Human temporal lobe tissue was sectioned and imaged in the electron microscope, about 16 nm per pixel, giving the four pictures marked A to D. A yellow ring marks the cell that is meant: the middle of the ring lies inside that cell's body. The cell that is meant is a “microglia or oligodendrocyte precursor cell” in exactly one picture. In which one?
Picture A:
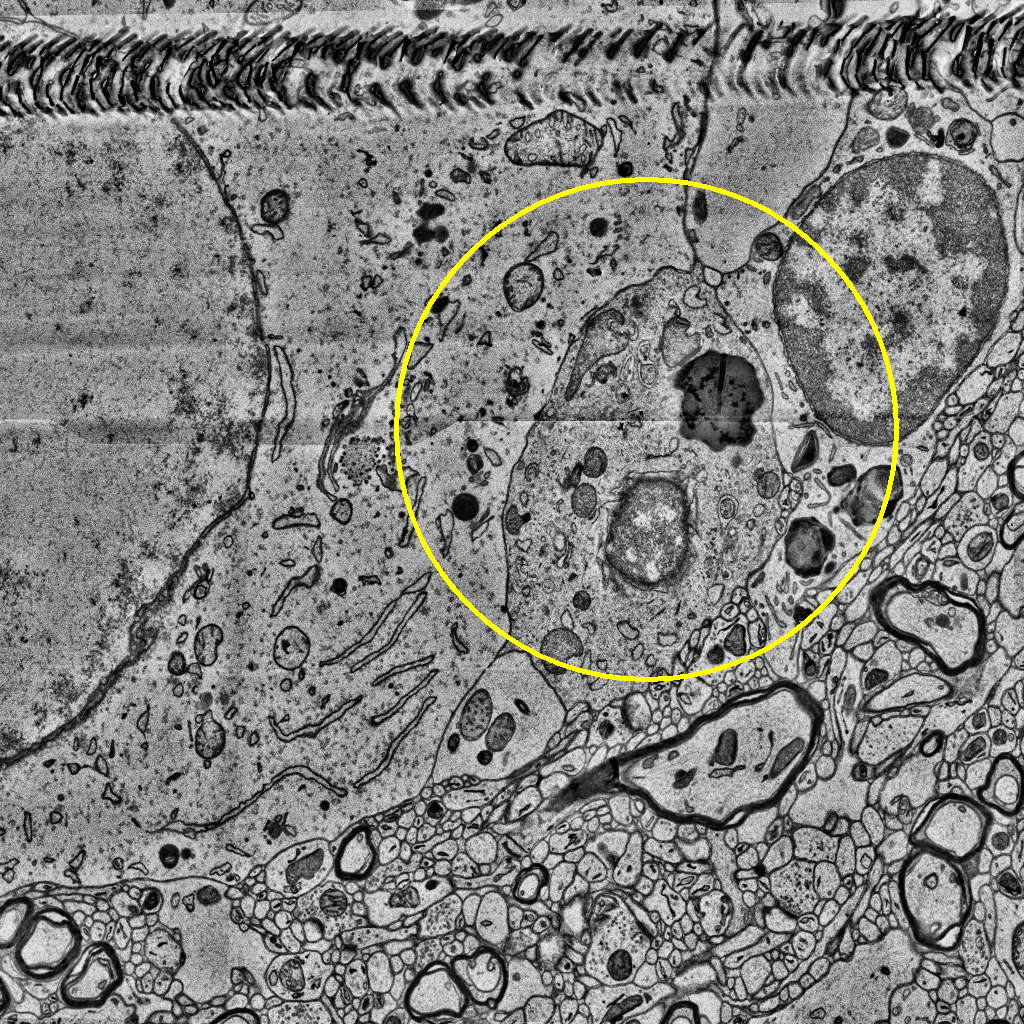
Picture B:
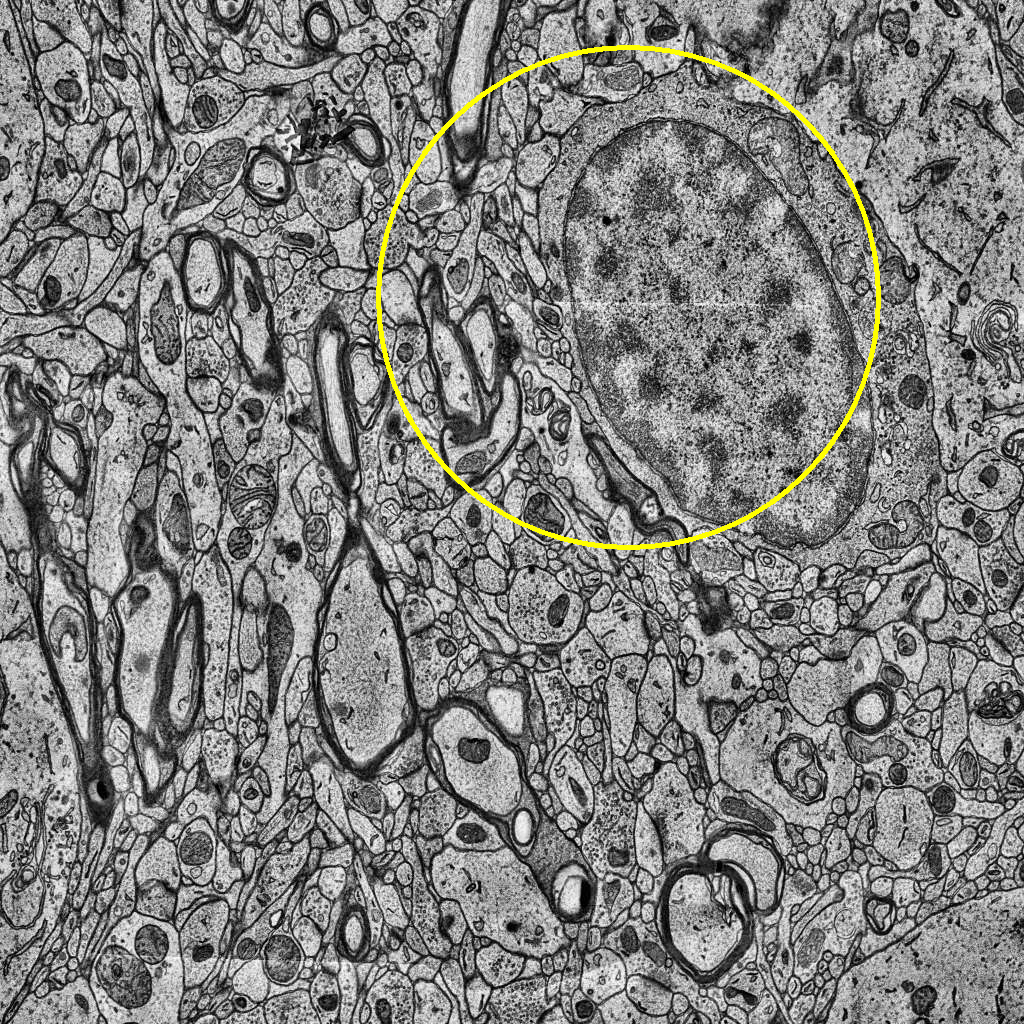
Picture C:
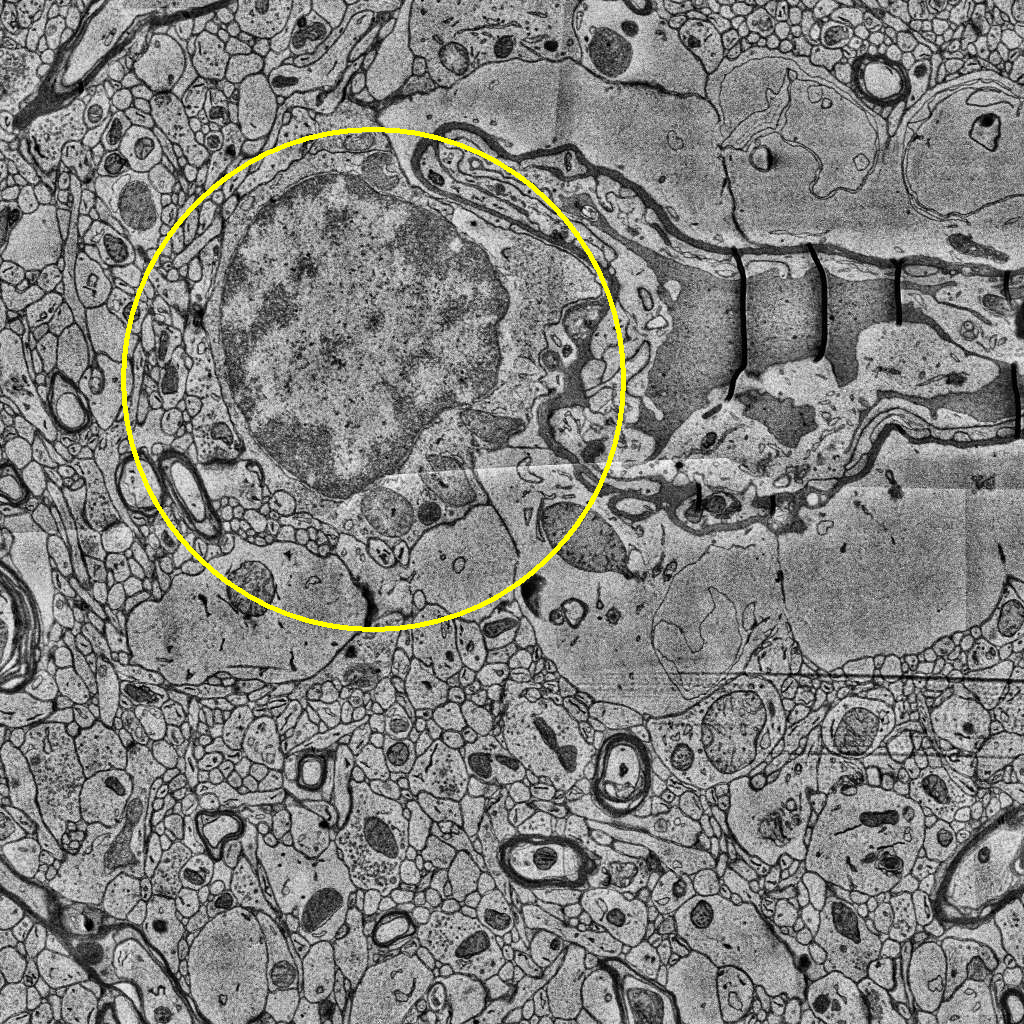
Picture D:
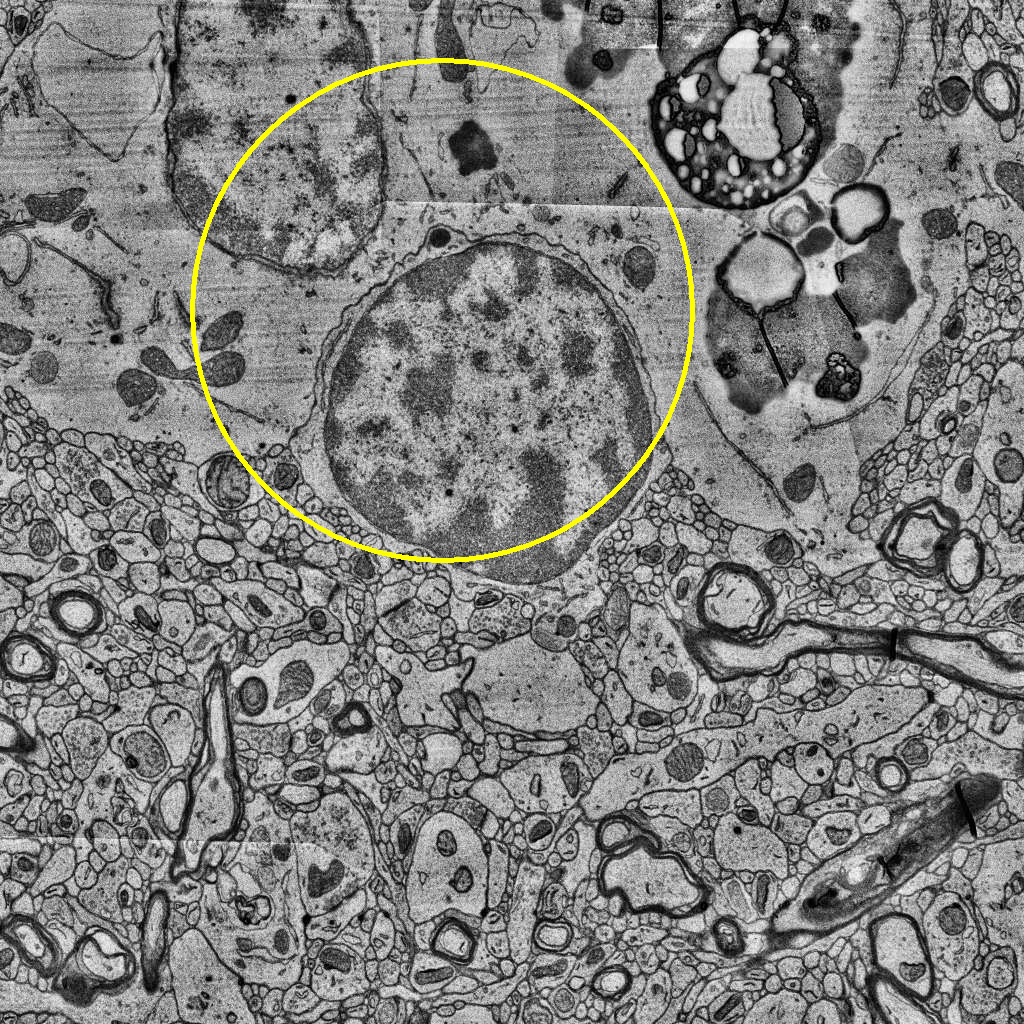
Picture D is the one that shows the “microglia or oligodendrocyte precursor cell”.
